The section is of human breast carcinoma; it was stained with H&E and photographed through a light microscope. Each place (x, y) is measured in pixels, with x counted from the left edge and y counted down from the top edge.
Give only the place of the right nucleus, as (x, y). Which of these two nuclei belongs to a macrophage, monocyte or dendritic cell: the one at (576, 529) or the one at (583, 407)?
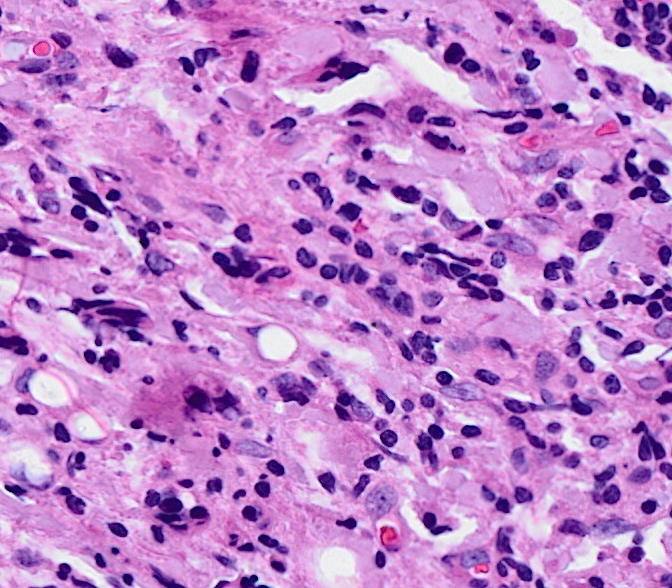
(576, 529)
